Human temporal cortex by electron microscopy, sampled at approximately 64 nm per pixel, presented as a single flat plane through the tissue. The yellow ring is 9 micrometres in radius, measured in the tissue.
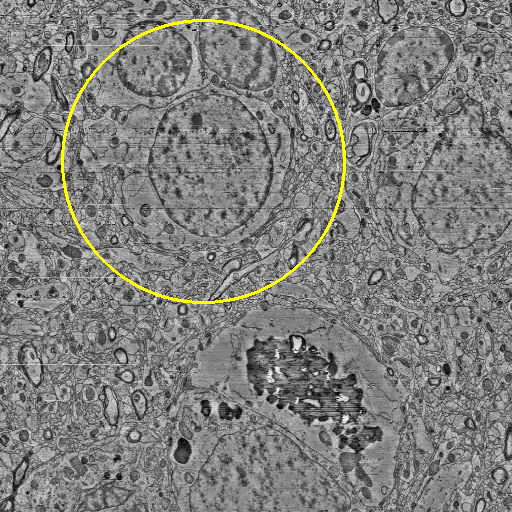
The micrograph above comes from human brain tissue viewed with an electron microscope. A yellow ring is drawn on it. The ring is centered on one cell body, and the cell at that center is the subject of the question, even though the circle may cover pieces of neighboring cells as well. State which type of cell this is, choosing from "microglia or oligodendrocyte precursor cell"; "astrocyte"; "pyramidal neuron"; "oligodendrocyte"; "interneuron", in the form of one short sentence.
The cell the ring is centered on is an astrocyte.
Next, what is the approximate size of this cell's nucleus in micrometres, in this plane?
Roughly 10 by 8 micrometres in this plane, for the nucleus of the ringed cell.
